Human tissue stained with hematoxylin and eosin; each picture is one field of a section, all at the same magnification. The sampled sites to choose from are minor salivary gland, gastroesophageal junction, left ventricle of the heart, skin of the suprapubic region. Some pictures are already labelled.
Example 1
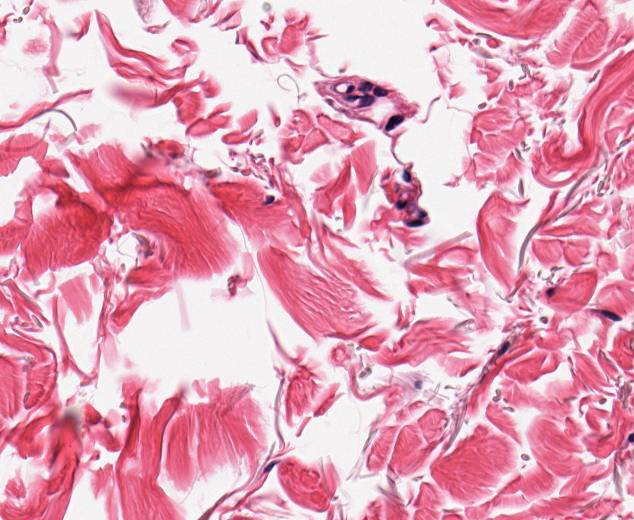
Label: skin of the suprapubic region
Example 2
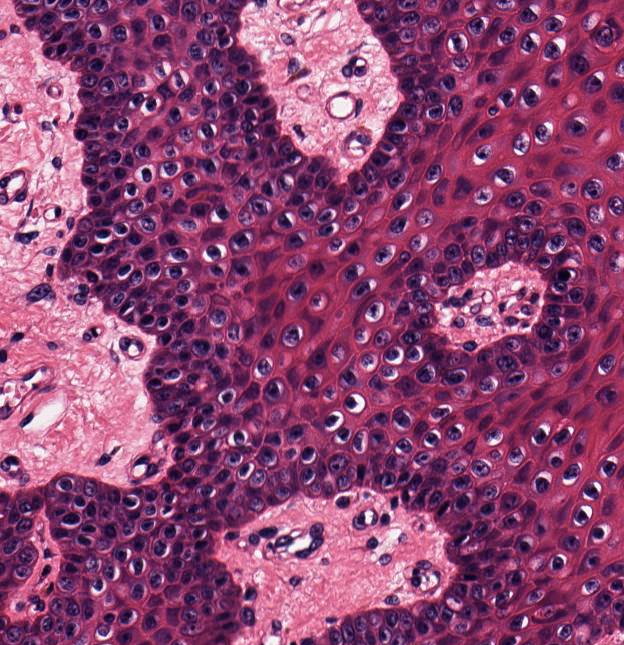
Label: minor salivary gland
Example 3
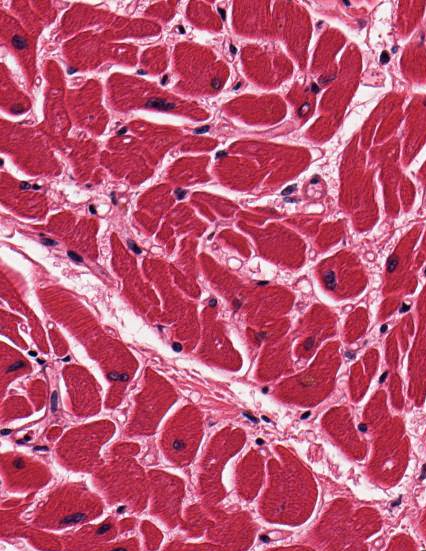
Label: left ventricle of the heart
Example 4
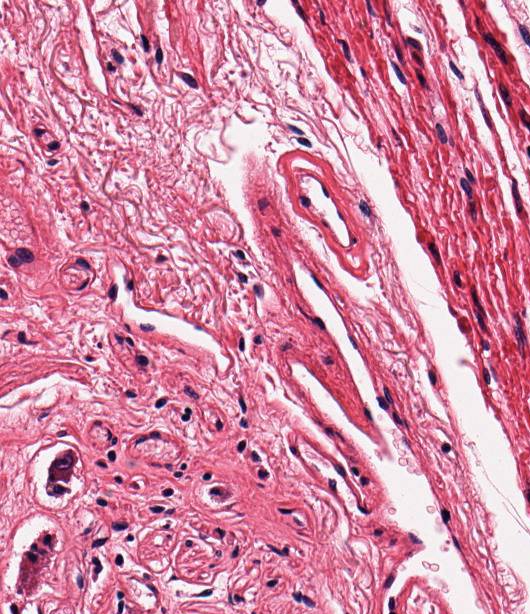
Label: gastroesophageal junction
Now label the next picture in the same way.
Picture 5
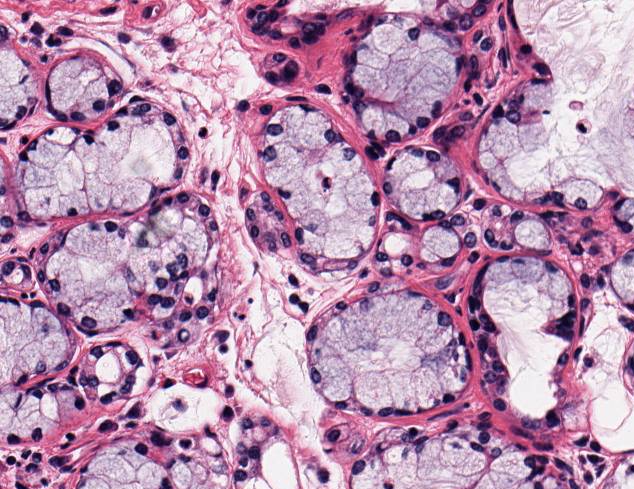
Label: minor salivary gland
